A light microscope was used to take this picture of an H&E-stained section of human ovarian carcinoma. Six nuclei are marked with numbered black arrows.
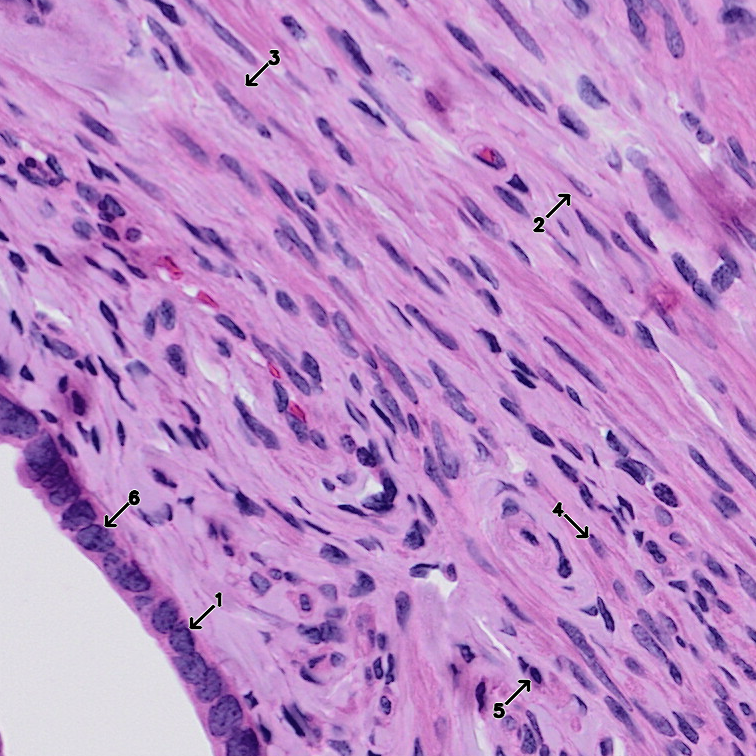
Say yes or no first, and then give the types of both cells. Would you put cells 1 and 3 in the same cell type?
No, the cell numbered 1 is a carcinoma cell and the cell numbered 3 is a smooth muscle cell.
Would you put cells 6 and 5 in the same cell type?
No, cell 6 is a carcinoma cell, and cell 5, on the other hand, is a smooth muscle cell.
